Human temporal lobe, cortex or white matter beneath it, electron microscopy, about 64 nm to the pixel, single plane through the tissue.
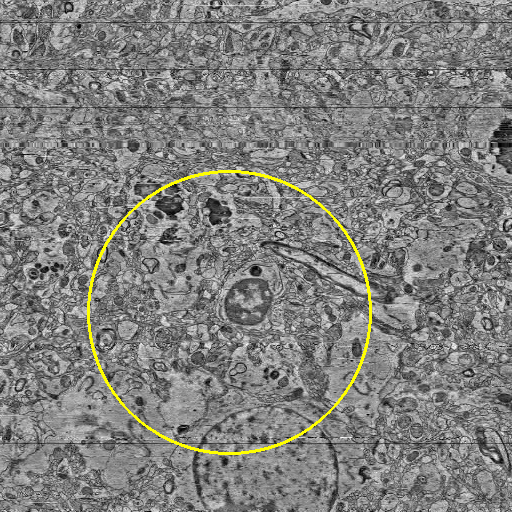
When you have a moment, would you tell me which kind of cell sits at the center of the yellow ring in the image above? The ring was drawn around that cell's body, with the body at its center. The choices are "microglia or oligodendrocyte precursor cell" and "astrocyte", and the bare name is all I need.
microglia or oligodendrocyte precursor cell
